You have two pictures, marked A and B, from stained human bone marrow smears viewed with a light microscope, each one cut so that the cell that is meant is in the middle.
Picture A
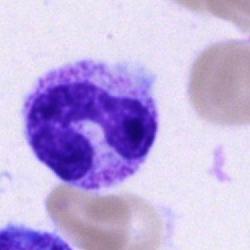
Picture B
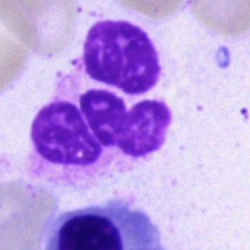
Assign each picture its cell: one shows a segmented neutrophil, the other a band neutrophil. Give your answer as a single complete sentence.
In picture A the cell is a band neutrophil; in picture B, a segmented neutrophil.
